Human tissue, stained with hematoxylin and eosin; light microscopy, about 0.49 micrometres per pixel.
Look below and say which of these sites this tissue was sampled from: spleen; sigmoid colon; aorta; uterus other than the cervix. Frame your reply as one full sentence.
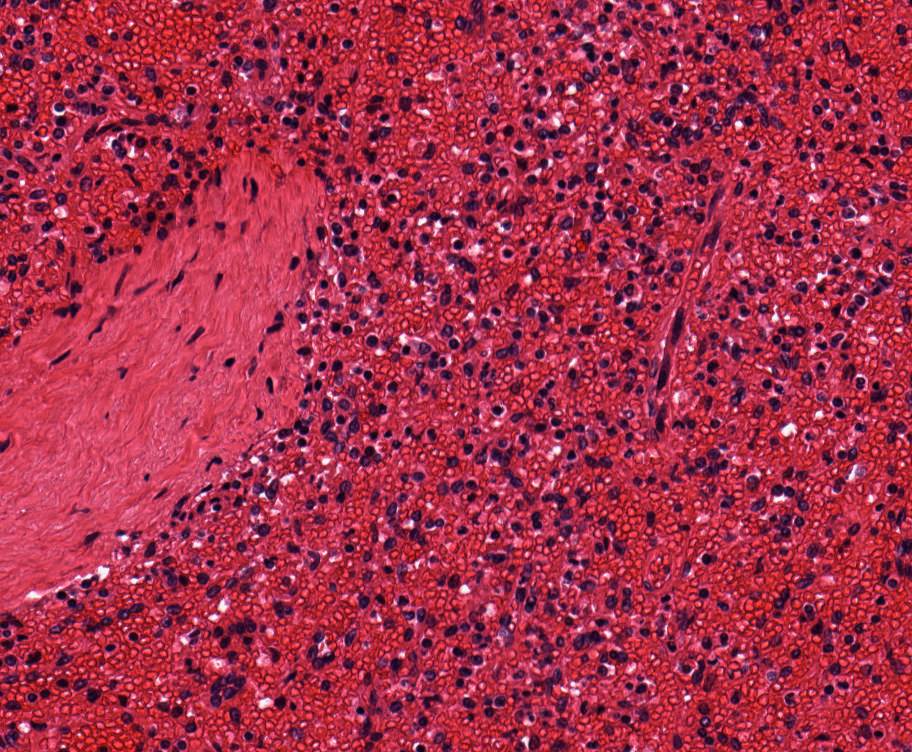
Sampled from the spleen is the tissue in this section.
